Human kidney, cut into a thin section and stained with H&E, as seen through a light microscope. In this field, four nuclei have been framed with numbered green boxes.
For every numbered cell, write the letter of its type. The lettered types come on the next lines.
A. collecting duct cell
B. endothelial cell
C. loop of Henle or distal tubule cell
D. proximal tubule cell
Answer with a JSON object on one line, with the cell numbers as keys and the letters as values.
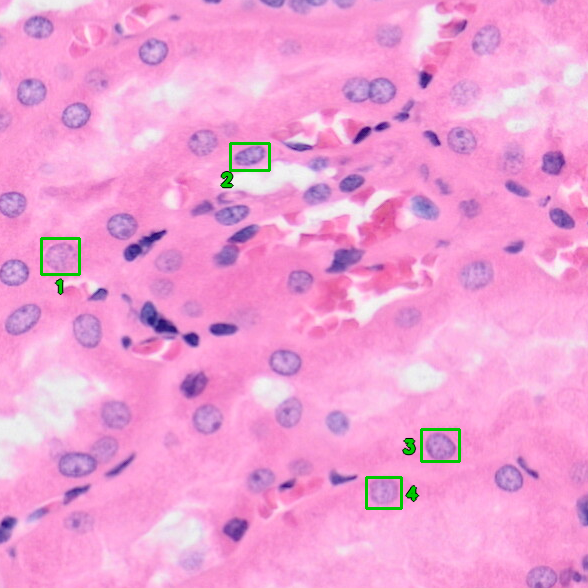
{"1": "D", "2": "A", "3": "D", "4": "D"}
